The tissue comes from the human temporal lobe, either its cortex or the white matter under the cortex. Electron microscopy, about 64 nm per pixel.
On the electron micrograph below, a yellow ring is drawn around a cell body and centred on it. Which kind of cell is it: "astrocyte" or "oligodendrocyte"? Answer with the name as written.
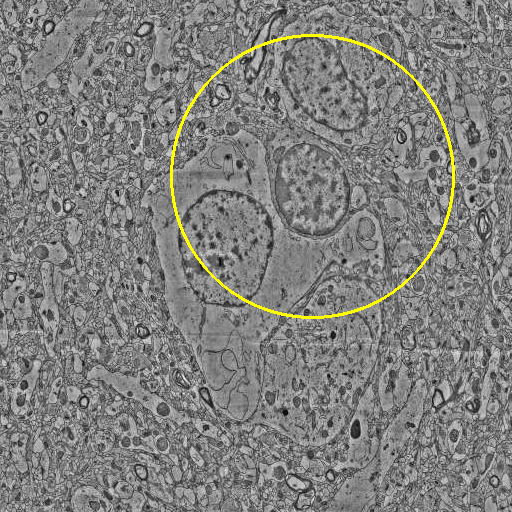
oligodendrocyte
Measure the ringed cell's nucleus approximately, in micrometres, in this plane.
In this plane the nucleus is about 6 micrometres by 5.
